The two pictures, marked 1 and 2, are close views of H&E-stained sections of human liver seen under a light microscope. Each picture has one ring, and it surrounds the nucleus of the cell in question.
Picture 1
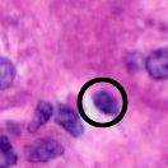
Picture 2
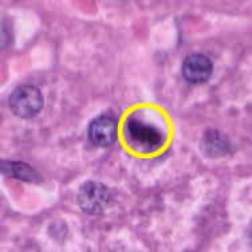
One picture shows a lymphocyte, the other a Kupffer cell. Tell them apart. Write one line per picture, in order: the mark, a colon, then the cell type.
1: lymphocyte
2: Kupffer cell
